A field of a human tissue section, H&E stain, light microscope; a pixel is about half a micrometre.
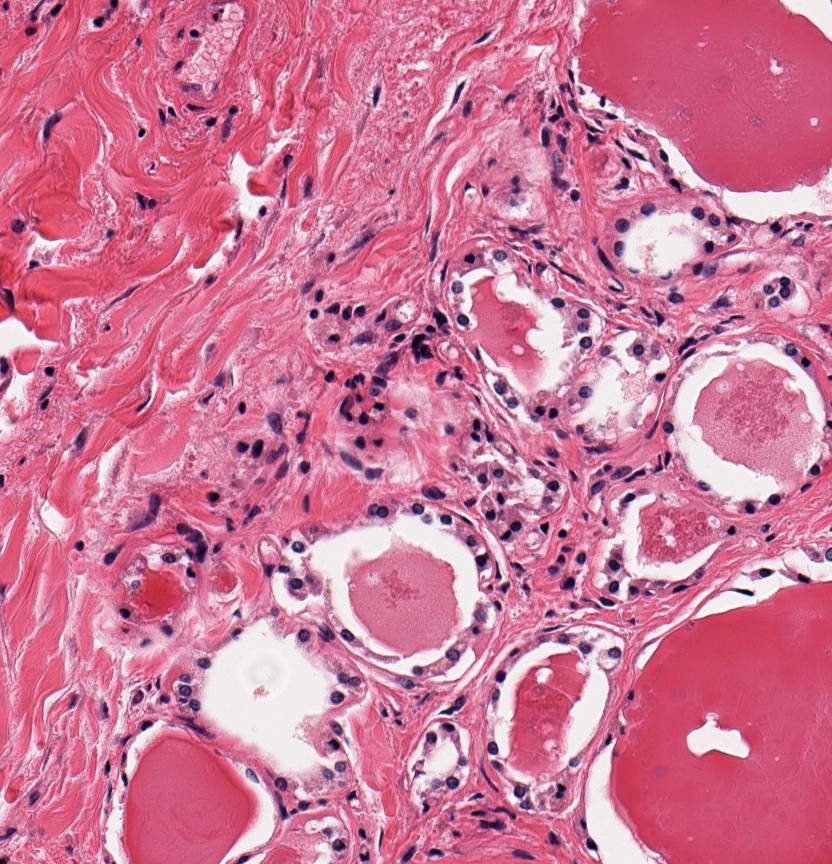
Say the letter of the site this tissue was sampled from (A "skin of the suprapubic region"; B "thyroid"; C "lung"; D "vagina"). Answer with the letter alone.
B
